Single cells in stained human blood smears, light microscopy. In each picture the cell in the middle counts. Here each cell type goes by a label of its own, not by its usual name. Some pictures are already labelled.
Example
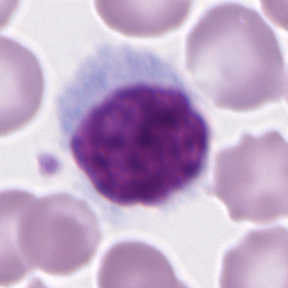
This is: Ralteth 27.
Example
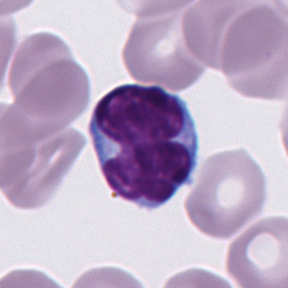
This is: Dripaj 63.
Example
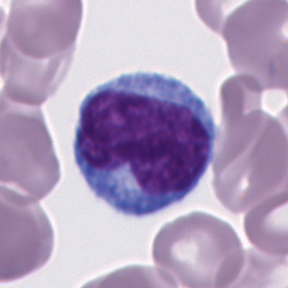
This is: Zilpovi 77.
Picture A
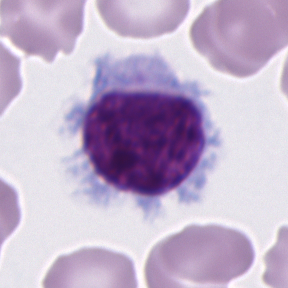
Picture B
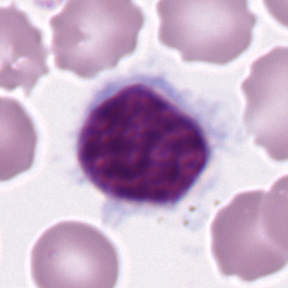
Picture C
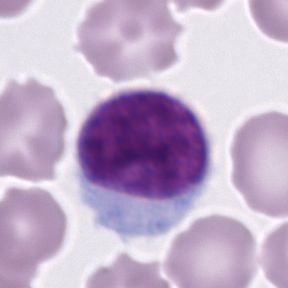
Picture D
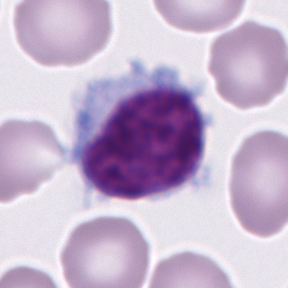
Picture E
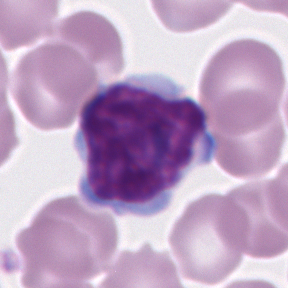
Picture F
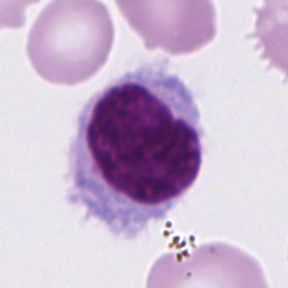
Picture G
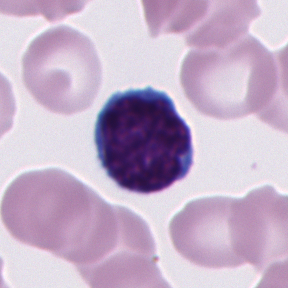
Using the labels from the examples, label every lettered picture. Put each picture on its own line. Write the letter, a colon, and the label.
A: Ralteth 27.
B: Ralteth 27.
C: Ralteth 27.
D: Ralteth 27.
E: Dripaj 63.
F: Ralteth 27.
G: Dripaj 63.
